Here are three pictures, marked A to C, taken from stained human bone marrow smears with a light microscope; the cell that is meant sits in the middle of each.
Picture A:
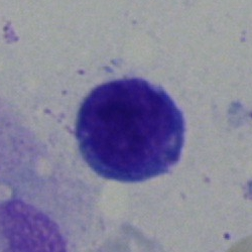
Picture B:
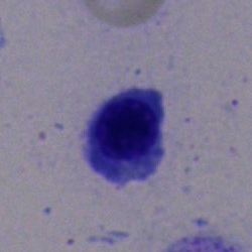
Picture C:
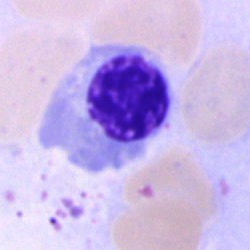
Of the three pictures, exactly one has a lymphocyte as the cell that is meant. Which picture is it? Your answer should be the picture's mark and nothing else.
A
